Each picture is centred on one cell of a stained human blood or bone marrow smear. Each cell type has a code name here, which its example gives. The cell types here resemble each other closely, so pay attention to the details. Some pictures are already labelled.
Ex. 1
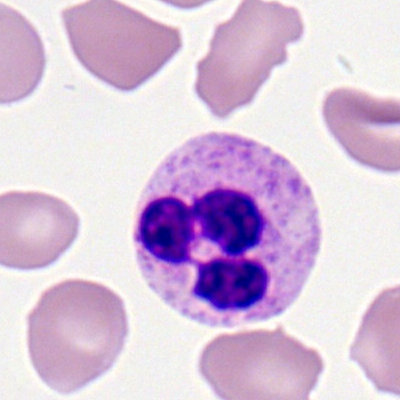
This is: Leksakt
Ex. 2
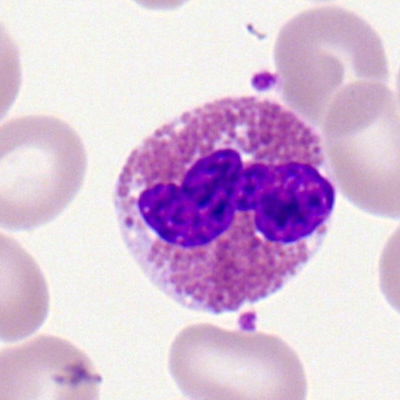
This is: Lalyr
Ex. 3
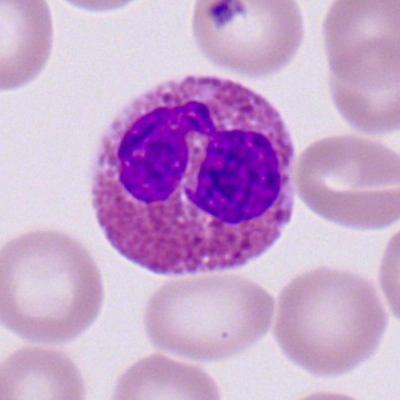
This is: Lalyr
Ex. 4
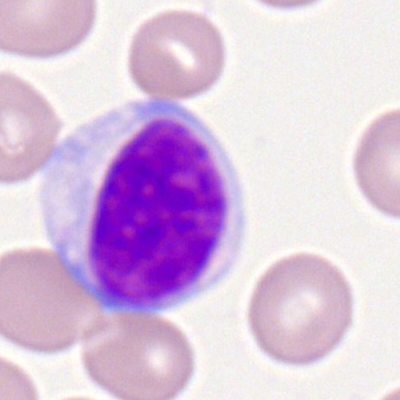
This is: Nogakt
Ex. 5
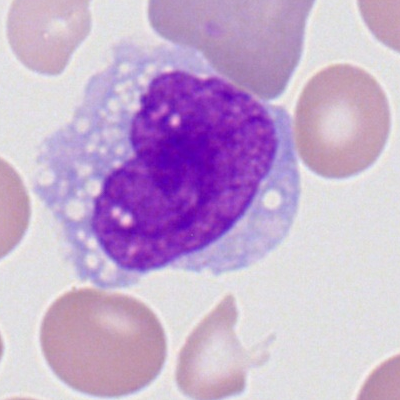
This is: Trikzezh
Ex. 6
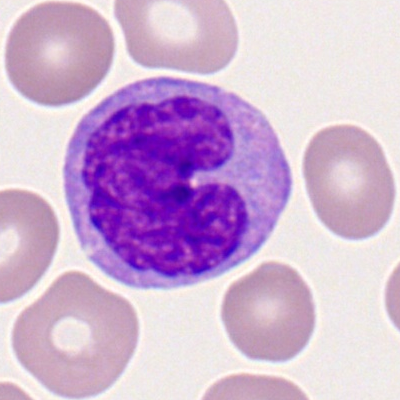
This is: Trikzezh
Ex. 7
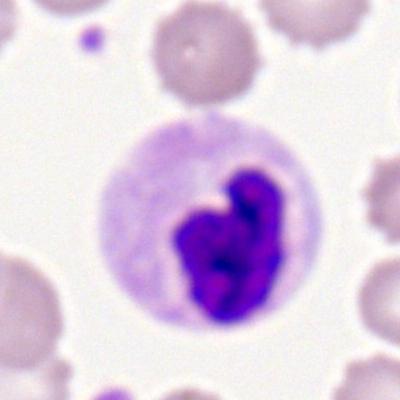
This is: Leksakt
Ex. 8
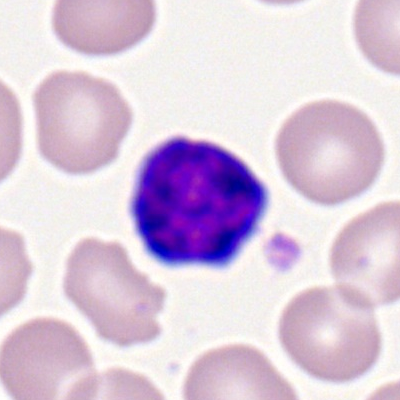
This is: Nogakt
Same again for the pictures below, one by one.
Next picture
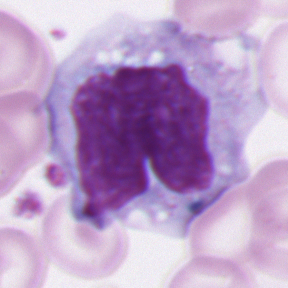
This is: Trikzezh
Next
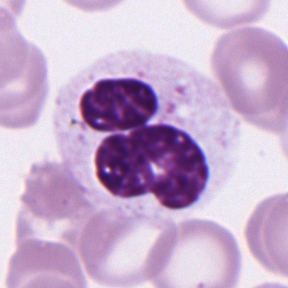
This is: Leksakt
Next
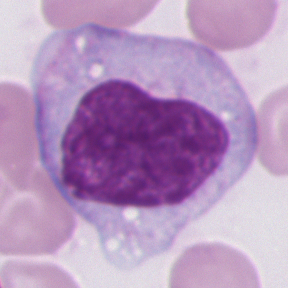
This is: Trikzezh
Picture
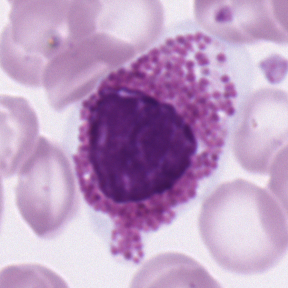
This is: Lalyr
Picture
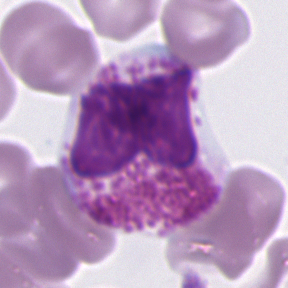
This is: Lalyr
